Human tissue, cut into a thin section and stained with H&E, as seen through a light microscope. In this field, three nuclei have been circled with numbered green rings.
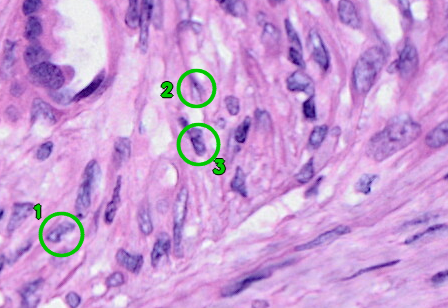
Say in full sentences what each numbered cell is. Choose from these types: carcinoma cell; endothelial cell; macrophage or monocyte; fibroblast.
Cell 1 is a fibroblast, cell 2 is a fibroblast and cell 3 is a macrophage or monocyte.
